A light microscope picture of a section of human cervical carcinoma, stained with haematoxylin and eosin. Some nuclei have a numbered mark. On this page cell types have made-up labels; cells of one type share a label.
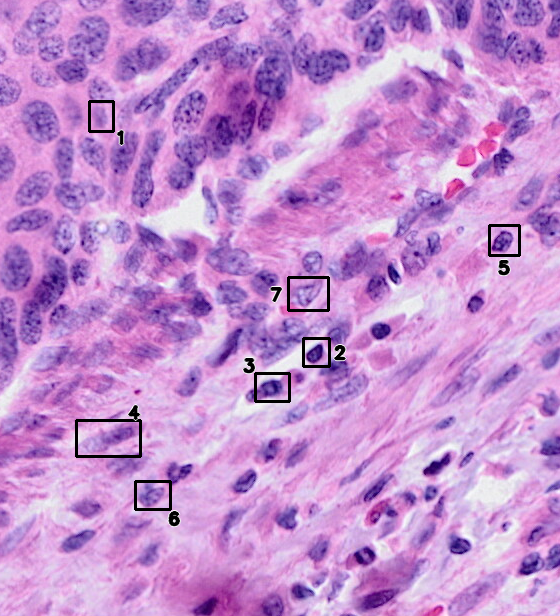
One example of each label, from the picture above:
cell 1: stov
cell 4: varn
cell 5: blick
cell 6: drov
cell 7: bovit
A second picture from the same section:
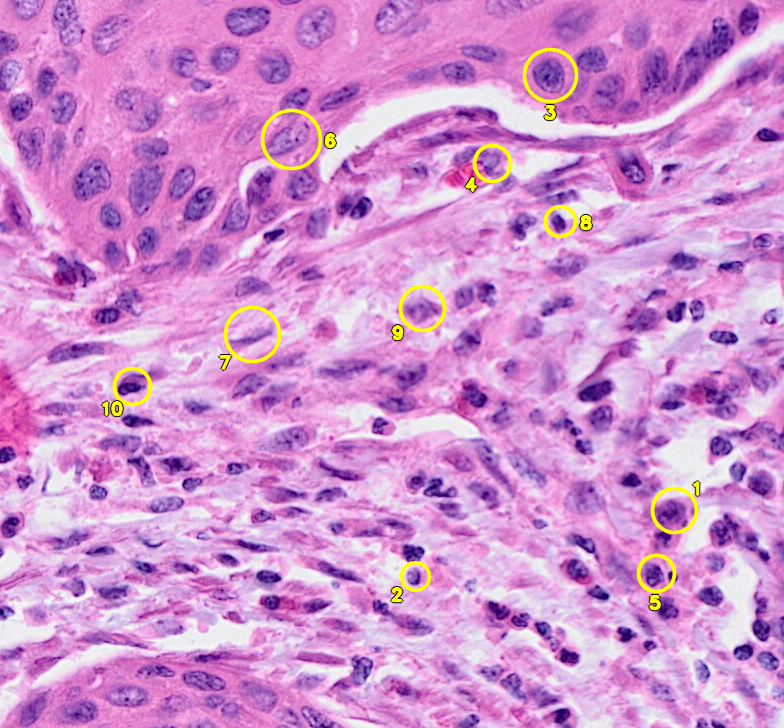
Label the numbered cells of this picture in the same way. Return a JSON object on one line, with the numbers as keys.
{"1": "drov", "2": "blick", "3": "stov", "4": "bovit", "5": "blick", "6": "stov", "7": "varn", "8": "blick", "9": "varn", "10": "blick"}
